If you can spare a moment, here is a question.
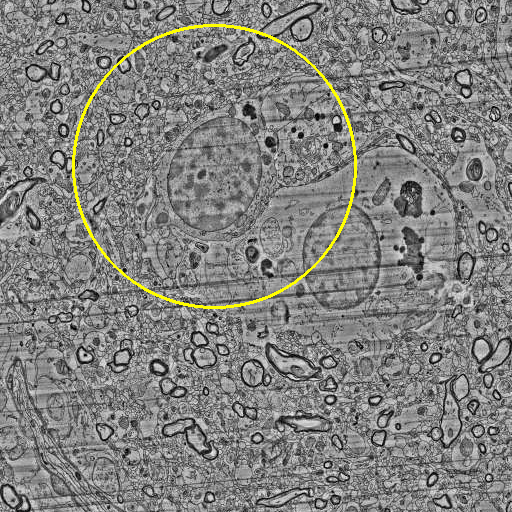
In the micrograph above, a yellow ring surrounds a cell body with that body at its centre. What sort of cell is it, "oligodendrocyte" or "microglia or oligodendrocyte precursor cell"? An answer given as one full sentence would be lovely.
Centred inside the yellow ring, the cell body shown belongs to an oligodendrocyte in this micrograph.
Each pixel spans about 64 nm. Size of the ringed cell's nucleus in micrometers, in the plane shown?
In this plane, the nucleus of the cell at the centre of the ring measures about 8 by 6 micrometres.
